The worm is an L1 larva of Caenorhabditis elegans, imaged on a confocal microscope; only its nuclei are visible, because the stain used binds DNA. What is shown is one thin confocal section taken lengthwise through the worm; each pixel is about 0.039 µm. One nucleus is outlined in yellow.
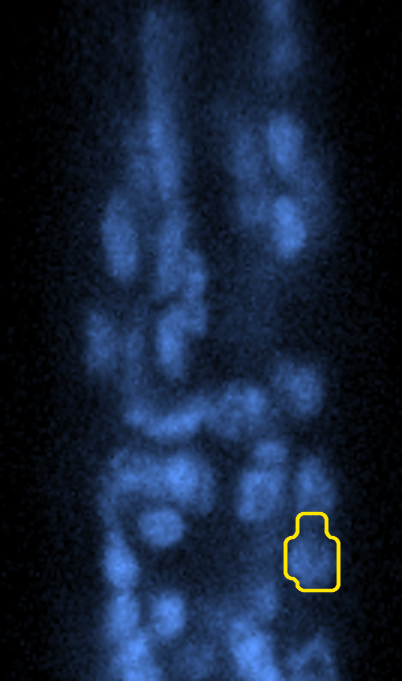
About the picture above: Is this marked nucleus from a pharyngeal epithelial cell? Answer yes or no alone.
no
